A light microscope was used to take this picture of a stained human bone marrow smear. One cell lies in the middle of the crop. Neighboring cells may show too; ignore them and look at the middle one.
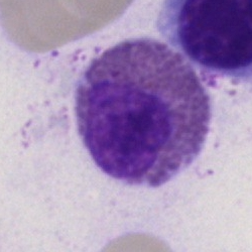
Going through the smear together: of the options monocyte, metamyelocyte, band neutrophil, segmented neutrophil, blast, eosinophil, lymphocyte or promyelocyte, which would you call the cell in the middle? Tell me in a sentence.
Classified as an eosinophil is the cell in the middle of this crop.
